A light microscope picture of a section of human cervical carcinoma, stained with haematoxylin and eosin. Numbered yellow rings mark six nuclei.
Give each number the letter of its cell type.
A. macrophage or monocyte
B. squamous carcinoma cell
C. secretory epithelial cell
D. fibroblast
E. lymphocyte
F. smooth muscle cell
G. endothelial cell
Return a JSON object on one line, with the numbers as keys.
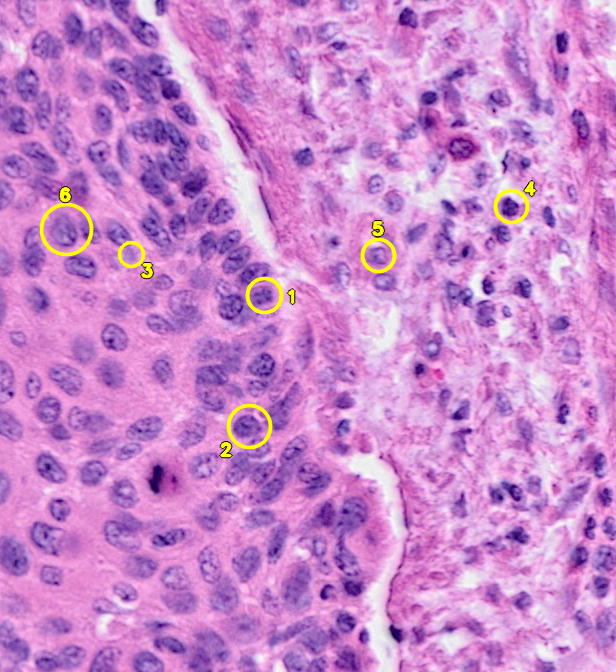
{"1": "B", "2": "B", "3": "B", "4": "E", "5": "G", "6": "B"}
